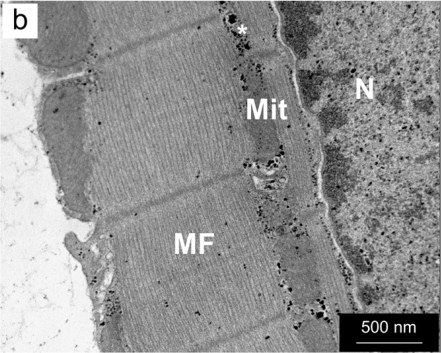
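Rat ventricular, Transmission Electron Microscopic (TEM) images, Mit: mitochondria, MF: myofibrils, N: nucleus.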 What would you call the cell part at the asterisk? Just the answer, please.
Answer: glycogen granules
